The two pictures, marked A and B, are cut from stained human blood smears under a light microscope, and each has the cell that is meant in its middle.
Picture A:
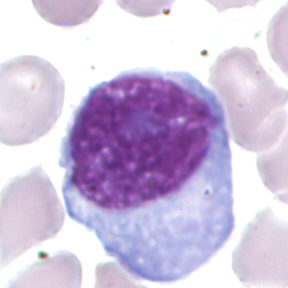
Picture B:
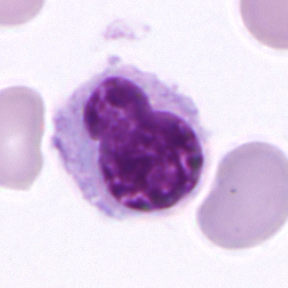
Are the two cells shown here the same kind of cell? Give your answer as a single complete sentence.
Yes, they are the same type: both are plasma cells.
